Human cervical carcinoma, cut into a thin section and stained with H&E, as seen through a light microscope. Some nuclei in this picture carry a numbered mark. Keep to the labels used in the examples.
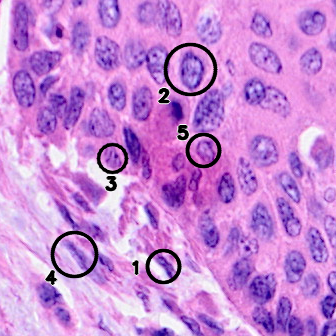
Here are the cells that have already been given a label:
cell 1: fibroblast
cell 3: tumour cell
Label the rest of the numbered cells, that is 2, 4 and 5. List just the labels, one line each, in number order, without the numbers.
tumour cell
fibroblast
tumour cell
